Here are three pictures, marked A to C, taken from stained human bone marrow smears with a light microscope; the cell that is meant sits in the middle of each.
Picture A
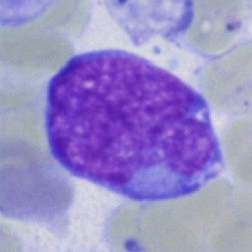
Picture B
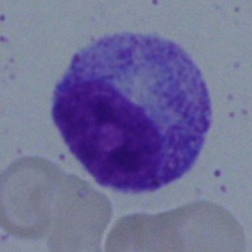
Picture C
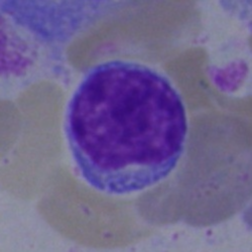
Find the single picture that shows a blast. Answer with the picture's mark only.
A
